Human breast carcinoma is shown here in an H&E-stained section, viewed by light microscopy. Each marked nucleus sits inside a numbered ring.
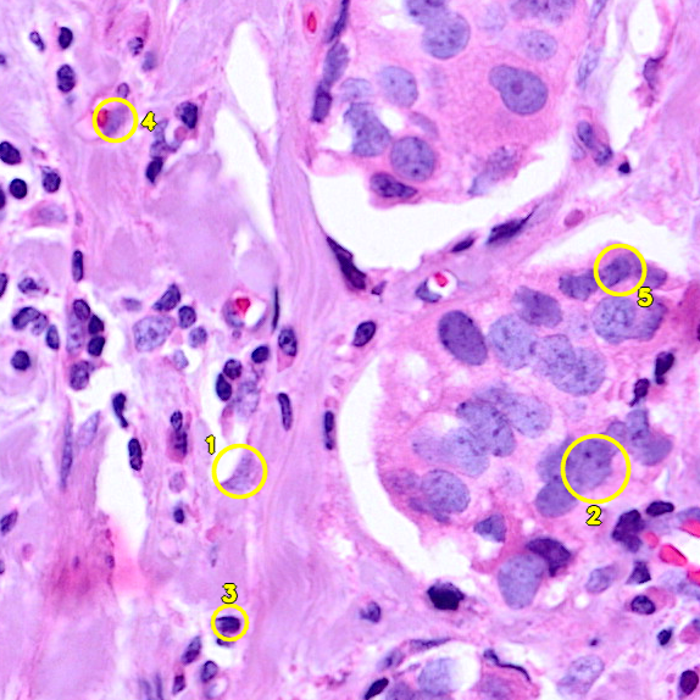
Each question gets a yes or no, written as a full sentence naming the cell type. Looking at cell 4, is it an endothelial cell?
Yes, in this section the cell numbered 4 is an endothelial cell.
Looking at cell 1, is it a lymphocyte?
No, with respect, cell 1 is a fibroblast rather than a lymphocyte.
